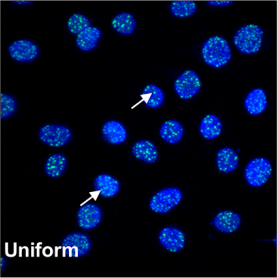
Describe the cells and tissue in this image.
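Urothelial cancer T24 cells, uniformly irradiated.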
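The nuclei vary somewhat in size and a few lie close together, but most stand apart with dark space between them where the unstained cytoplasm lies. Inside nearly every nucleus sit many small, sharp green dots, the foci, sprinkled through the nuclear area rather than along its edge. No green dots lie outside the blue nuclei, so the foci belong to the nucleus alone.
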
